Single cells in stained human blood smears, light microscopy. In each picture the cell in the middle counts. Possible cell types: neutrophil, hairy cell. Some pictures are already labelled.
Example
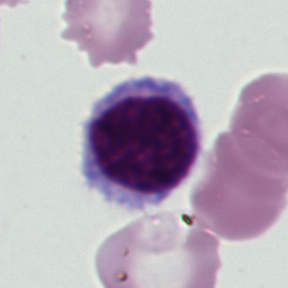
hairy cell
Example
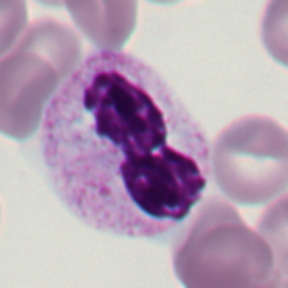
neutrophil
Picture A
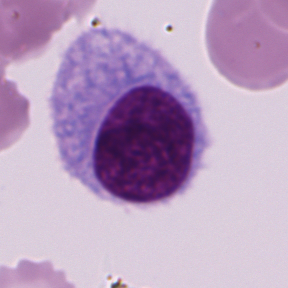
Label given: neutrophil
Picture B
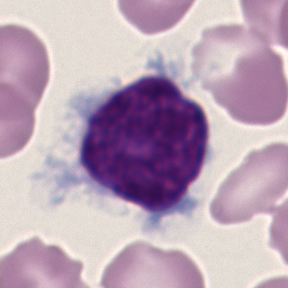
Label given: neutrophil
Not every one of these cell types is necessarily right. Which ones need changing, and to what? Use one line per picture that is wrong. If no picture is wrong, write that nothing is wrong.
A: change neutrophil to hairy cell
B: change neutrophil to hairy cell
